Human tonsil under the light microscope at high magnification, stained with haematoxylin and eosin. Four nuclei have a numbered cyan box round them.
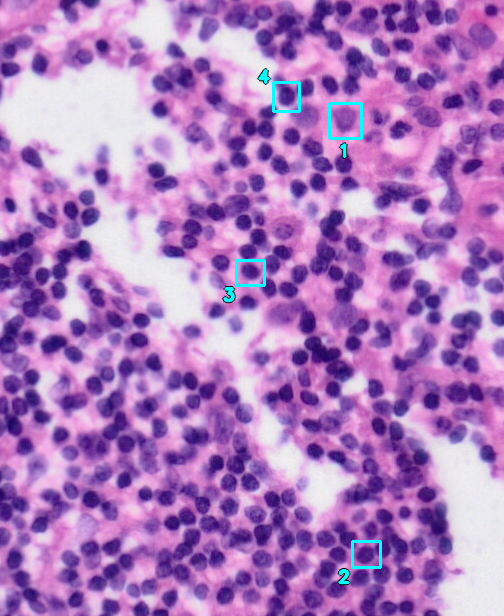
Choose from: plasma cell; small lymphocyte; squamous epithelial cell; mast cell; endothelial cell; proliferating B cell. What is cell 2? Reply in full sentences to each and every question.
Regarding cell 2, this one is a small lymphocyte.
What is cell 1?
Cell 1 should be recorded as an endothelial cell.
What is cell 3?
The cell whose nucleus carries the number 3 is a small lymphocyte.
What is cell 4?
The cell to which the number 4 is assigned is a small lymphocyte.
